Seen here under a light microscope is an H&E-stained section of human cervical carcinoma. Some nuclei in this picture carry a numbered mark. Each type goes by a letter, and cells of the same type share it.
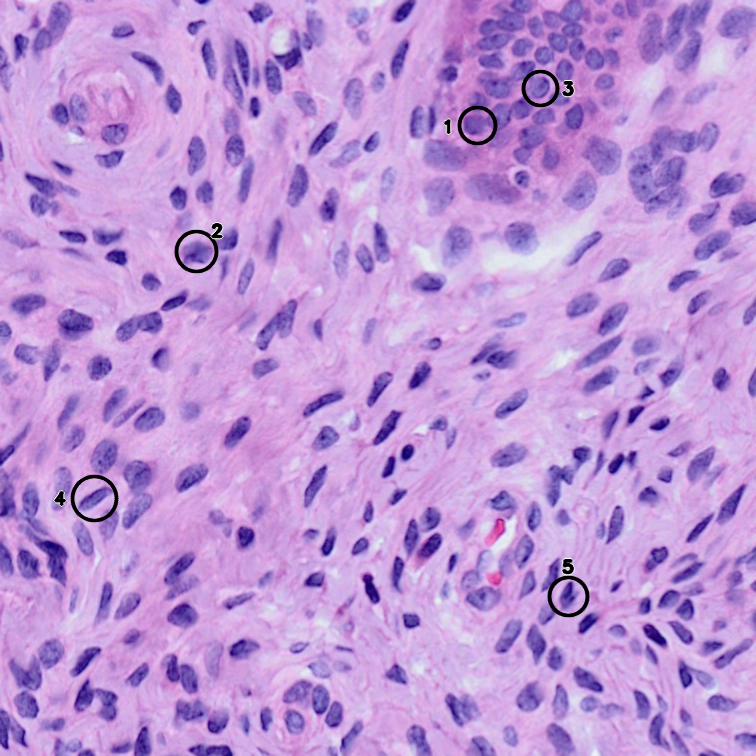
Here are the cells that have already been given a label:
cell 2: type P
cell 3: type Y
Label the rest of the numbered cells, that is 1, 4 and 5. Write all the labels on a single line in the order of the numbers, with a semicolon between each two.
type Y; type P; type P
